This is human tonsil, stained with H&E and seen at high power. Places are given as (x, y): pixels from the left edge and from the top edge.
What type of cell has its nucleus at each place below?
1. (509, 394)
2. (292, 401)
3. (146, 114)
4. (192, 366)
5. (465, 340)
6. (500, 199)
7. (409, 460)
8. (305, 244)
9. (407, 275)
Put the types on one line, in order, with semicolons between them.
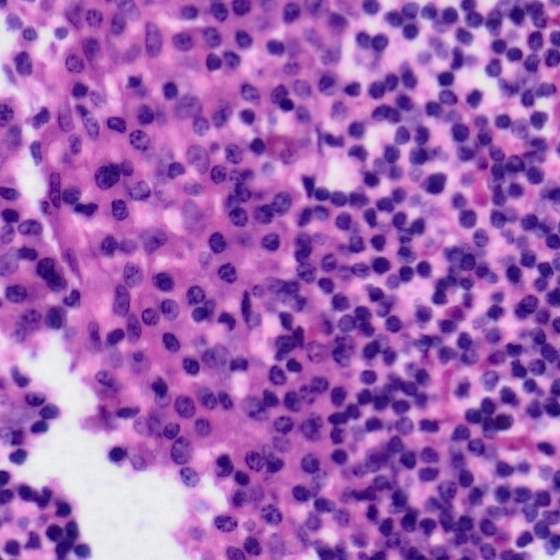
small lymphocyte; plasma cell; plasma cell; plasma cell; small lymphocyte; small lymphocyte; small lymphocyte; plasma cell; small lymphocyte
